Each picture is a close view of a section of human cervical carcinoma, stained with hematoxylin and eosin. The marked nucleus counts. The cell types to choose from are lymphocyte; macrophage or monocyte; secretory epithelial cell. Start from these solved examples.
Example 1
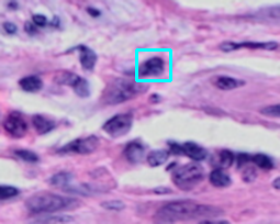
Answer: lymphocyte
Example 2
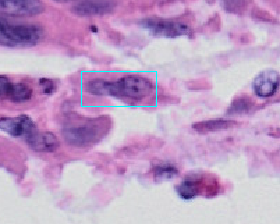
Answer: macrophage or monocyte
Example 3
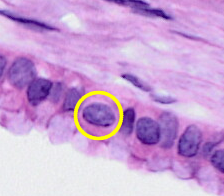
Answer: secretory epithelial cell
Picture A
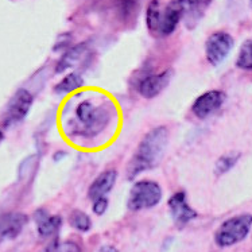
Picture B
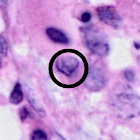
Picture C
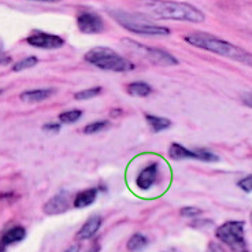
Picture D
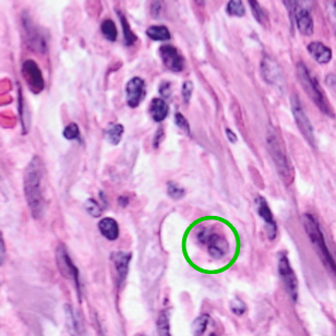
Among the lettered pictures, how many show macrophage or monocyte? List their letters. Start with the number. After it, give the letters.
Count: 3 (A, B, D)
